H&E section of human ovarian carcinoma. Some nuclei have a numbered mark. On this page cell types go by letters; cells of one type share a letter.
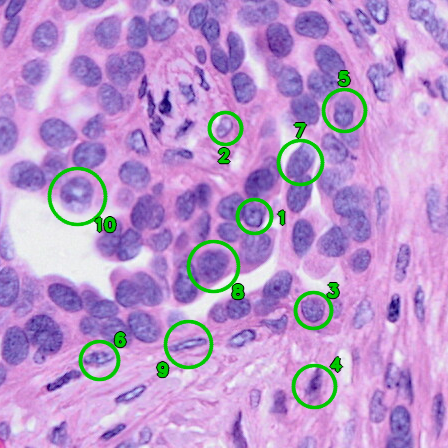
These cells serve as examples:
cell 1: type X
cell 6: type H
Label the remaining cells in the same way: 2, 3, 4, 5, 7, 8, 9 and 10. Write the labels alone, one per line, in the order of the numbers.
type H
type X
type H
type X
type X
type X
type H
type X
